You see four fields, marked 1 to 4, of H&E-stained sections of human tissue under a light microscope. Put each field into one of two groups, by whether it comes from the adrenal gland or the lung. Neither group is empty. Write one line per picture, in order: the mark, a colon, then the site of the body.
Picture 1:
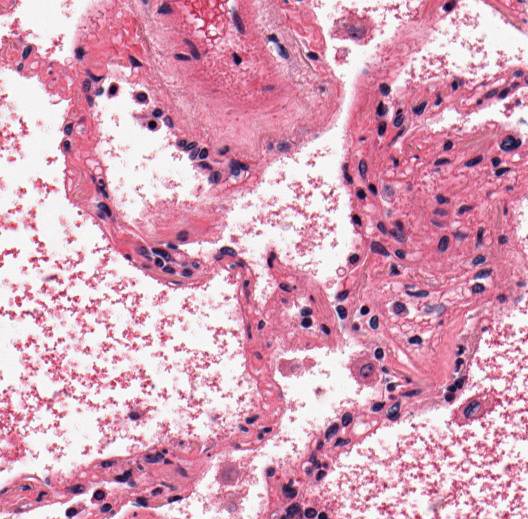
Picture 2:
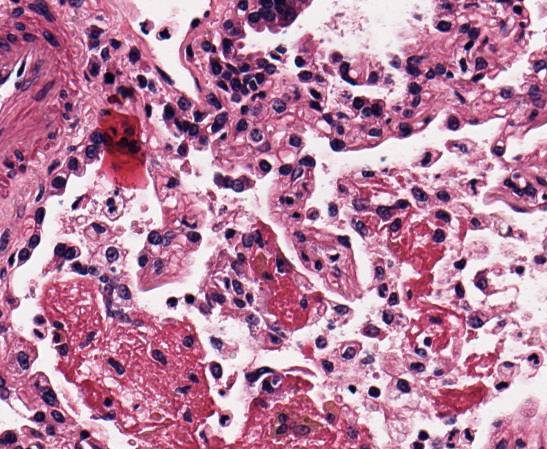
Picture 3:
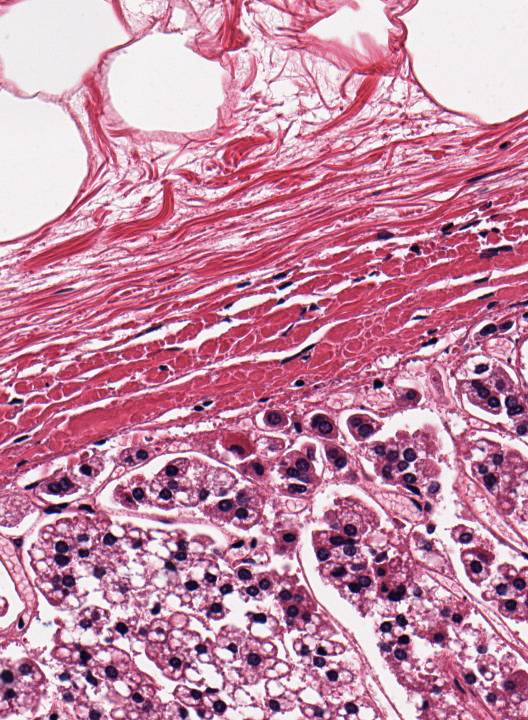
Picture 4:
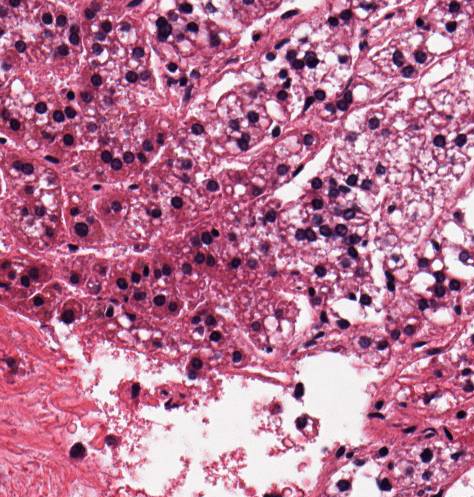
1: lung
2: lung
3: adrenal gland
4: adrenal gland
